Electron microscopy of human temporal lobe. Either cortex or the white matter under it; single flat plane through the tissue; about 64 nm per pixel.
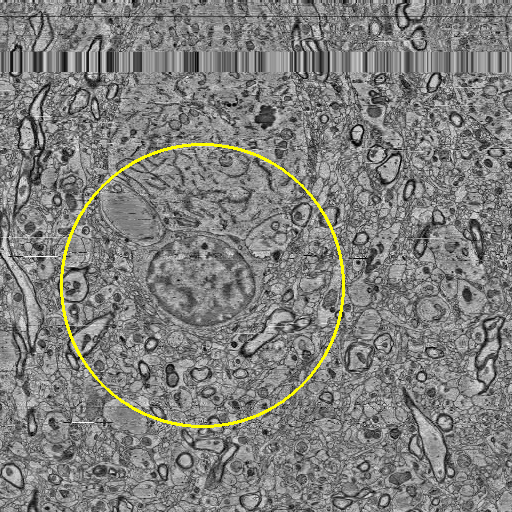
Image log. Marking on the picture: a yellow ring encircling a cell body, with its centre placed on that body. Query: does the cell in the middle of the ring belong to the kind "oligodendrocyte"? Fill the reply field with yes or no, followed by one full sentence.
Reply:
Yes, the cell at the centre of the yellow ring in this picture belongs to that kind.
